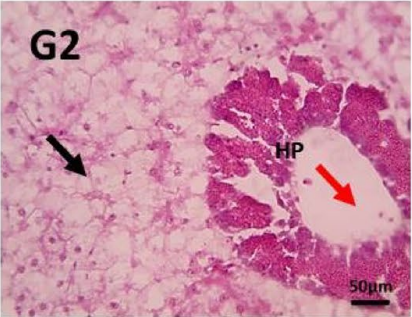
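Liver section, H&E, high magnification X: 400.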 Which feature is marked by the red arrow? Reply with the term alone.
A: blood vessels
